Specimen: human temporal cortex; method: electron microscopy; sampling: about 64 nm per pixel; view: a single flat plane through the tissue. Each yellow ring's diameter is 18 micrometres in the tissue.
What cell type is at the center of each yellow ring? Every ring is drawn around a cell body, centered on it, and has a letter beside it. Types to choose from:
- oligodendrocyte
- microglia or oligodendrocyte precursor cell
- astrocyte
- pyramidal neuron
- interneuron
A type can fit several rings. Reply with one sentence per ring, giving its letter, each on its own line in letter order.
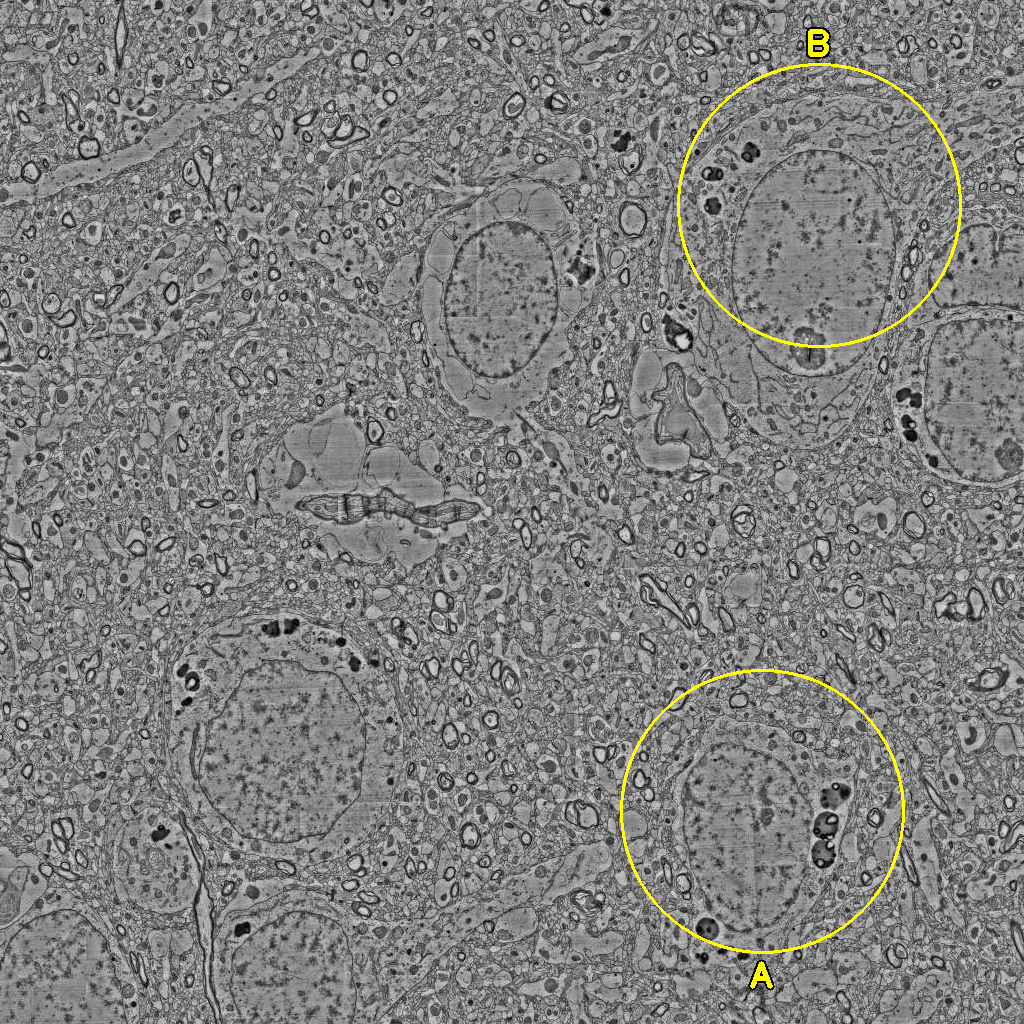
Ring A is placed around an interneuron.
Ring B is placed around a pyramidal neuron.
